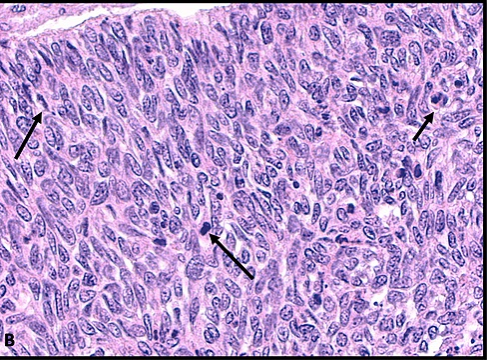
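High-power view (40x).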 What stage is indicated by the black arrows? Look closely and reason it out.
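Mitoses. The arrows point to small, dark, condensed chromatin clumps. These are darker and denser than the surrounding oval nuclei.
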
